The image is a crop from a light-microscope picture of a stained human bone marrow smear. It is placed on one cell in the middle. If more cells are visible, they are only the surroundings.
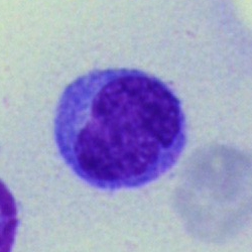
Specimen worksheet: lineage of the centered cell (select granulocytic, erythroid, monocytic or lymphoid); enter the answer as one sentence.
The cell sitting in the middle of this crop is of the monocytic line.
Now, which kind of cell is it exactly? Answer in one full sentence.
The cell in the exact centre of the crop is a monocyte.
